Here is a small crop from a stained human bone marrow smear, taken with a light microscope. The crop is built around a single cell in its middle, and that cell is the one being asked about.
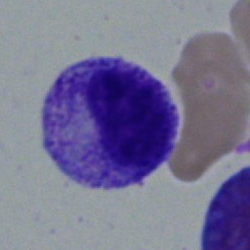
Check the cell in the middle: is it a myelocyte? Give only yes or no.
yes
